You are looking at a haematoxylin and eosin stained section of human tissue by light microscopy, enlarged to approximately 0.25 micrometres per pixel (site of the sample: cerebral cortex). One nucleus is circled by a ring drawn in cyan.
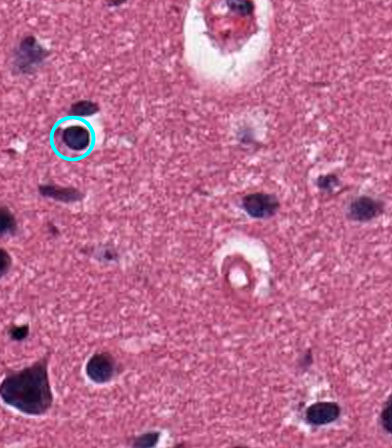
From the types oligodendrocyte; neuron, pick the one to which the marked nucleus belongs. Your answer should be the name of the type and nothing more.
oligodendrocyte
